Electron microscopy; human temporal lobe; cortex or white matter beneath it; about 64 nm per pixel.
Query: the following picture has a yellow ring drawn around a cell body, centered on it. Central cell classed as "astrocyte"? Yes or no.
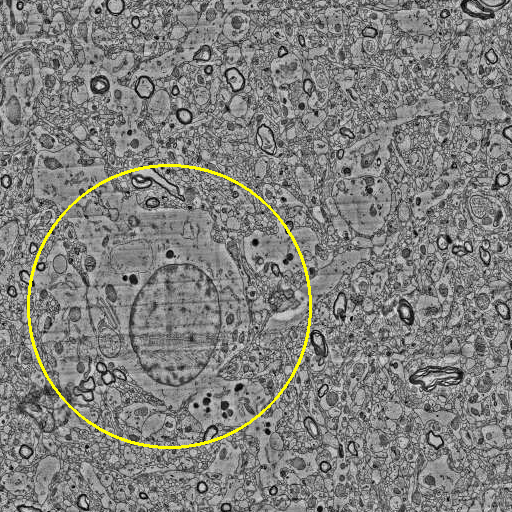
yes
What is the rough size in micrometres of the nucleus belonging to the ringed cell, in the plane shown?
The nucleus appears roughly 8 by 6 micrometres in this plane.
